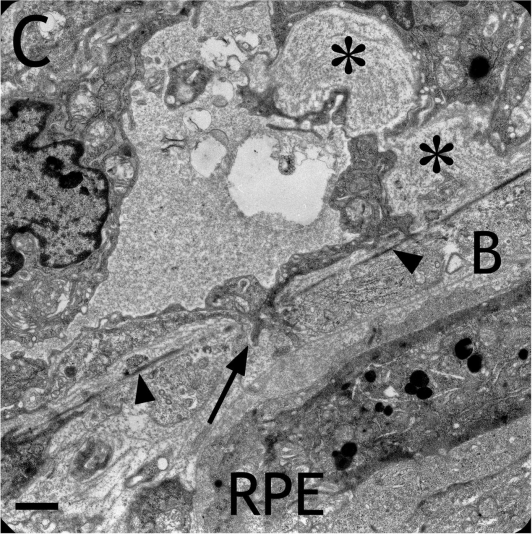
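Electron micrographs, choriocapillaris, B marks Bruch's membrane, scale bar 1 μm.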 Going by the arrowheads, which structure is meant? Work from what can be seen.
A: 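The arrowheads point to a thin dark line running diagonally across the panel. The line lies in a band between the capillary cells above and the pigmented epithelium below.
Conclusion: elastic layer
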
